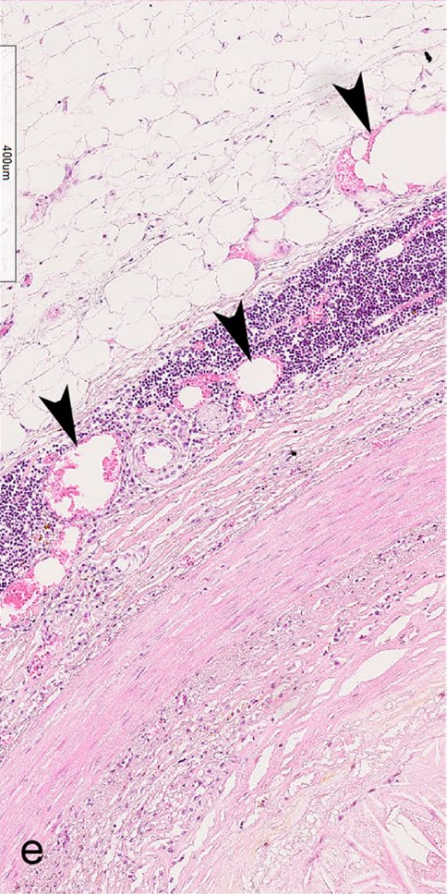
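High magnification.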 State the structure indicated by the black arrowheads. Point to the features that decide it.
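The arrowheads point to round, thin-walled vessel lumina, some widened. These small vessels lie within or next to a band of small dark nuclei outside the arterial wall. Some lumina contain pink red blood cells.
Hence: vasa vasorum.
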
